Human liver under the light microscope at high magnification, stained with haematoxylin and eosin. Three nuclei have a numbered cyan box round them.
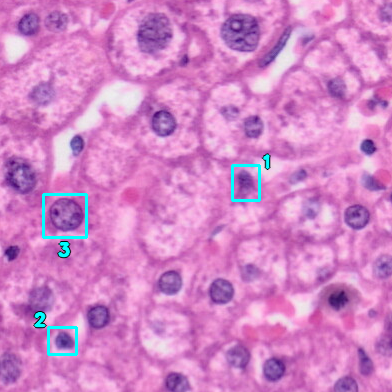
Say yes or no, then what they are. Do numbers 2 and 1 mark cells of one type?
No, in contrast to cell 1, which is a fibroblast or stellate cell, cell 2 is a lymphocyte.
